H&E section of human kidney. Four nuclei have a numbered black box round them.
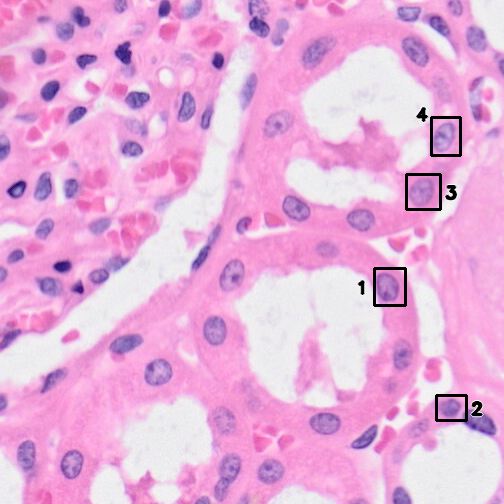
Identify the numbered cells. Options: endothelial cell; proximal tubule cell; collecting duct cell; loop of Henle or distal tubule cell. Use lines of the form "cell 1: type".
cell 1: proximal tubule cell
cell 2: collecting duct cell
cell 3: proximal tubule cell
cell 4: proximal tubule cell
